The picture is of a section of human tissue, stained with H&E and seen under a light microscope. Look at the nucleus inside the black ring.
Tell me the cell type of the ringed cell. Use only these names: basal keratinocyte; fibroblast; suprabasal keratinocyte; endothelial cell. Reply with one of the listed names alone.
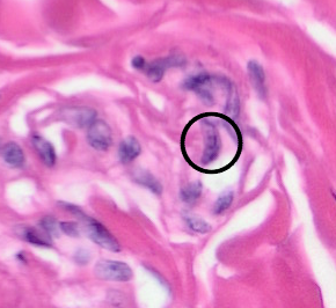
endothelial cell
